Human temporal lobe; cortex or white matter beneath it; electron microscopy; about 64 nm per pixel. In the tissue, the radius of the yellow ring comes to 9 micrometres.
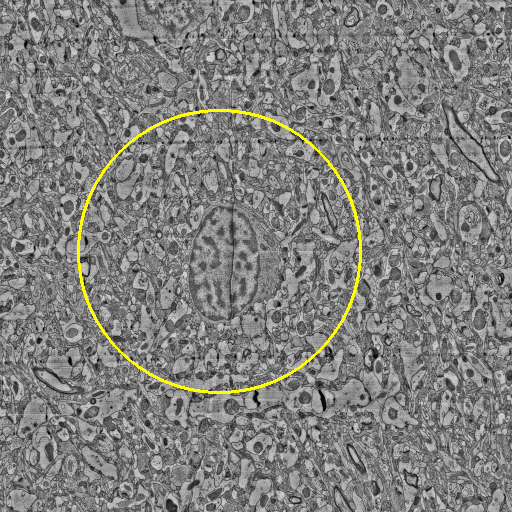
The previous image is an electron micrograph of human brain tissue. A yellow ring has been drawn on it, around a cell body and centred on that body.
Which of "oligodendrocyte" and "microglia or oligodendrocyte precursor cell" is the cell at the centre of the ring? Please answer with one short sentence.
The cell body at the centre of the ring belongs to an oligodendrocyte.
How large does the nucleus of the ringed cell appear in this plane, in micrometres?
Approximately 7 by 5 micrometers in this plane.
